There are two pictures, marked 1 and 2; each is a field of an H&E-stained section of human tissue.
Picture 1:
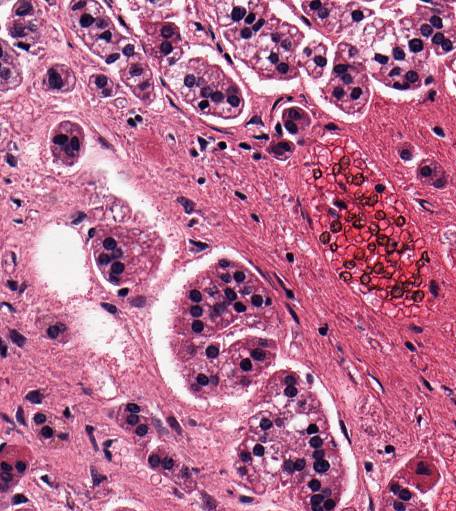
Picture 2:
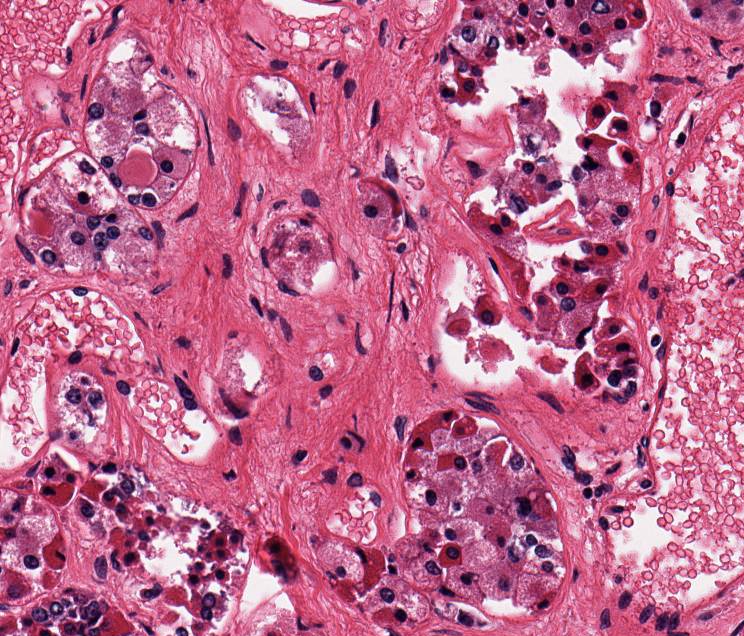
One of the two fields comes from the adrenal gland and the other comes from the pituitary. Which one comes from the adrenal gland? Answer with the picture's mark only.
1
